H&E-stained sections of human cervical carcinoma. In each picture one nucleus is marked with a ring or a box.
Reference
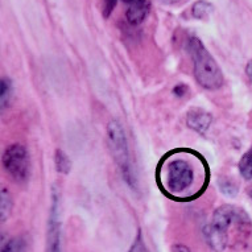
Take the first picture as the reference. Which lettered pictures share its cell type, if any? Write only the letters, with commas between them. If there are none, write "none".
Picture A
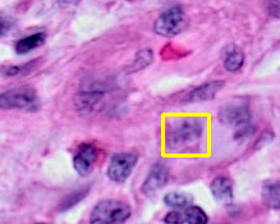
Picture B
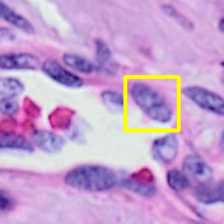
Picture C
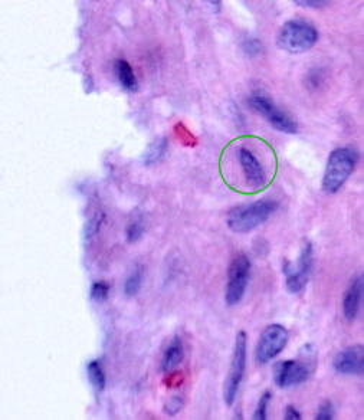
none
